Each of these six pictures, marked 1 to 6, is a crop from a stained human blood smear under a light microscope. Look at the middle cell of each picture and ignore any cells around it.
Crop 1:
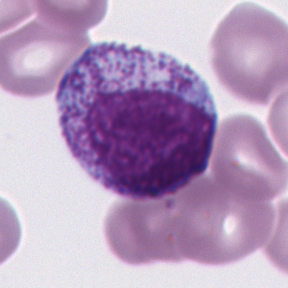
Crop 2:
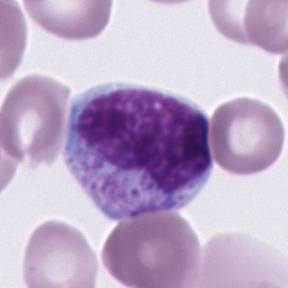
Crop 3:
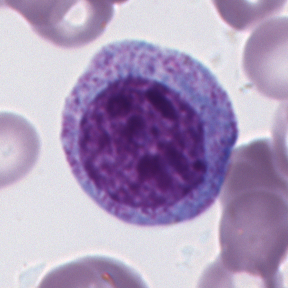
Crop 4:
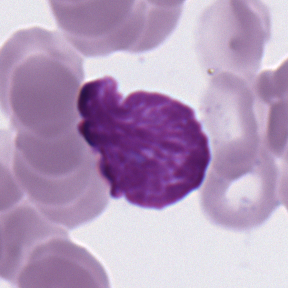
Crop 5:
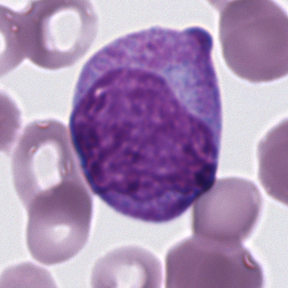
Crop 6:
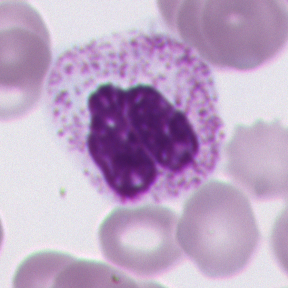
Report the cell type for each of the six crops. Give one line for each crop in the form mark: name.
1: myelocyte
2: myelocyte
3: promyelocyte
4: smudge cell
5: atypical promyelocyte
6: segmented neutrophil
